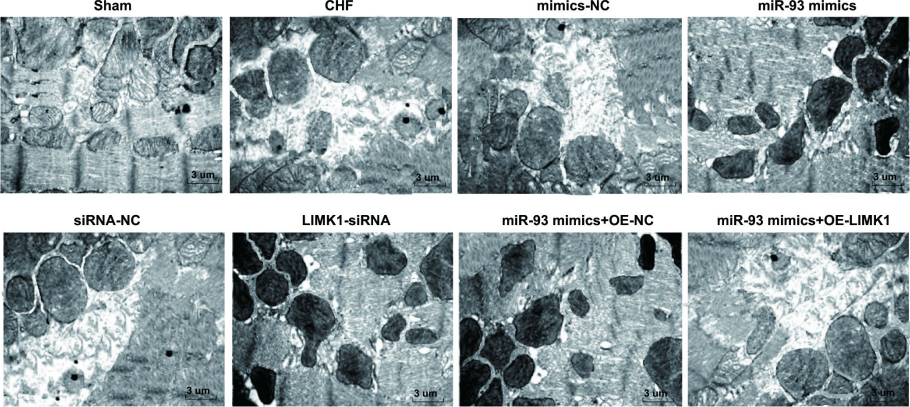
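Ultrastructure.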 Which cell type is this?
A: cardiomyocytes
